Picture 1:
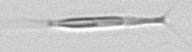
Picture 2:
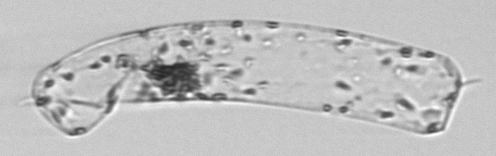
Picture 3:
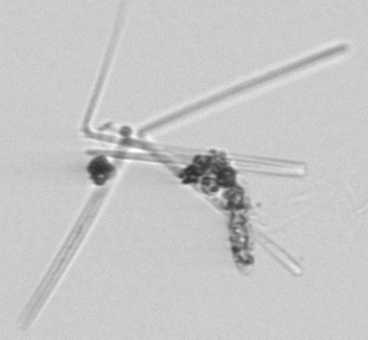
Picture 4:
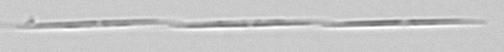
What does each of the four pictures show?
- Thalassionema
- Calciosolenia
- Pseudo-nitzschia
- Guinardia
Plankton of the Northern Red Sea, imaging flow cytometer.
(1) Calciosolenia
(2) Guinardia
(3) Thalassionema
(4) Pseudo-nitzschia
